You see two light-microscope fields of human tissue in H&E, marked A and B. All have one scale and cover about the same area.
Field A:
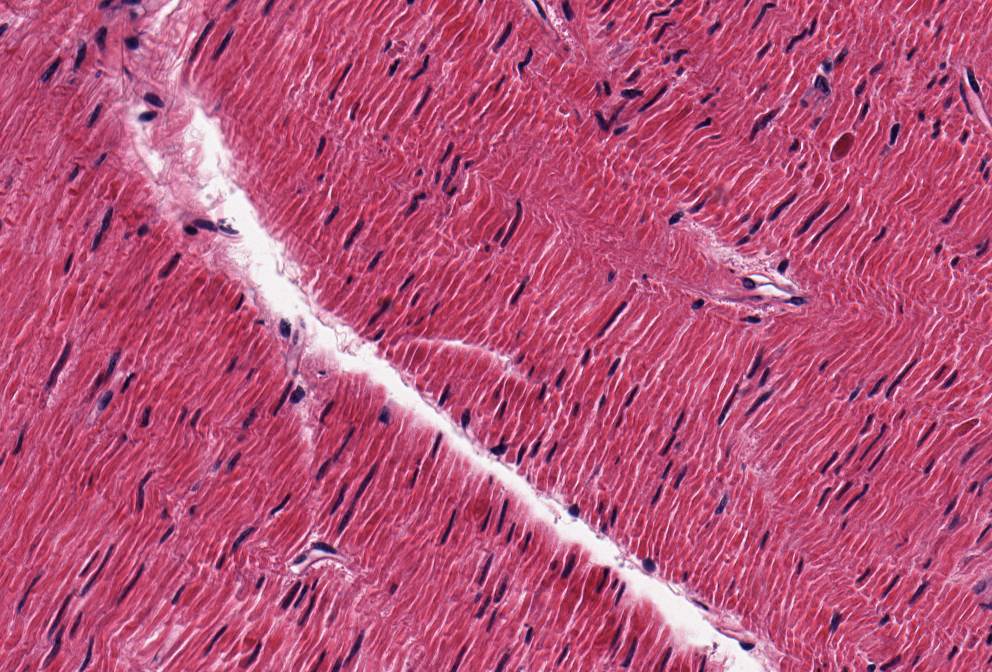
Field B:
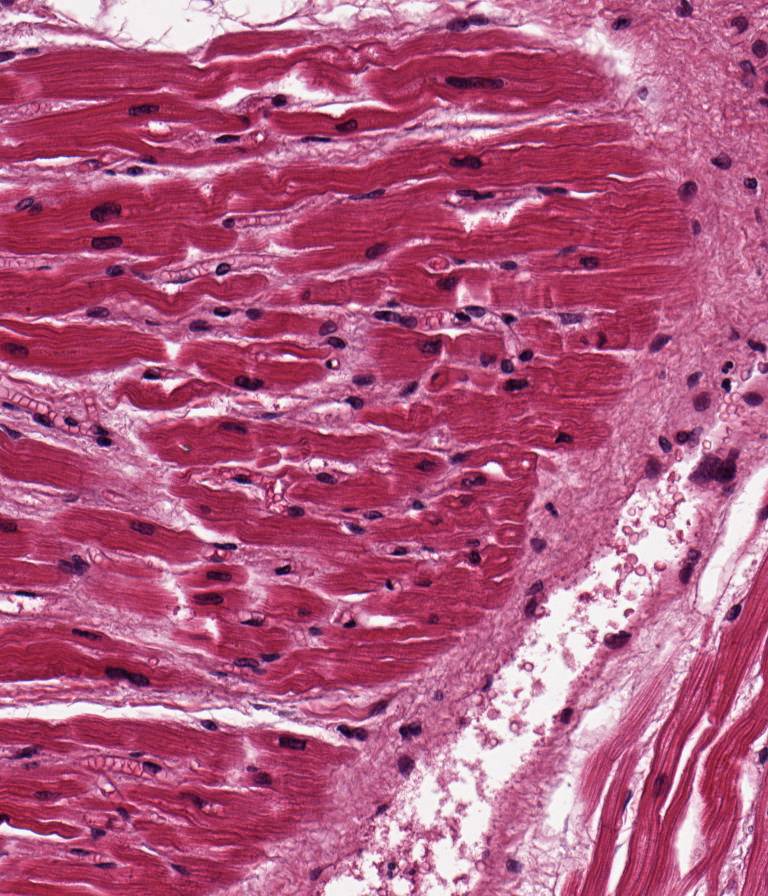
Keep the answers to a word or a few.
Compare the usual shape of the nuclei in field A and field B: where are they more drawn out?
A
